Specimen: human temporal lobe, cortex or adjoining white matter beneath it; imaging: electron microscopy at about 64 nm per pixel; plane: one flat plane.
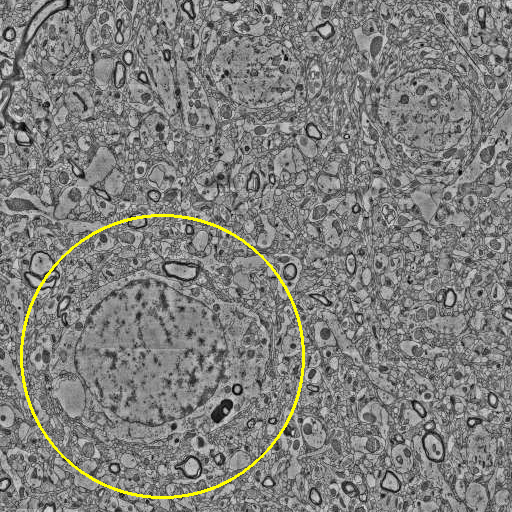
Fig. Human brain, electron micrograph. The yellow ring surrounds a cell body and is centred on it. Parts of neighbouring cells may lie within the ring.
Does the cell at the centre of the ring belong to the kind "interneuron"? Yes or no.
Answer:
yes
